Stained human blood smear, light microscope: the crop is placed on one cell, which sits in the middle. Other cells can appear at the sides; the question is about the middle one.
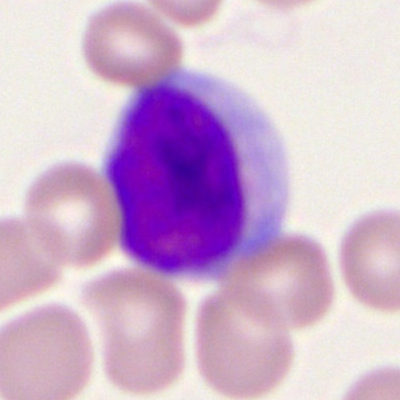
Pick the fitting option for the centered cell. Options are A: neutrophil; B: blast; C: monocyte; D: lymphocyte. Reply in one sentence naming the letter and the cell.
Option B gives the correct identity of the central cell, namely a blast.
